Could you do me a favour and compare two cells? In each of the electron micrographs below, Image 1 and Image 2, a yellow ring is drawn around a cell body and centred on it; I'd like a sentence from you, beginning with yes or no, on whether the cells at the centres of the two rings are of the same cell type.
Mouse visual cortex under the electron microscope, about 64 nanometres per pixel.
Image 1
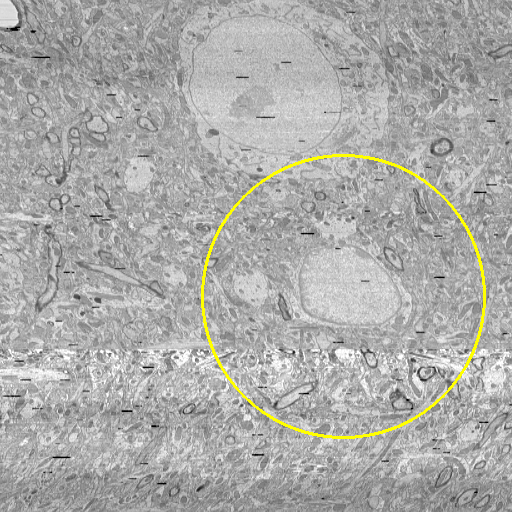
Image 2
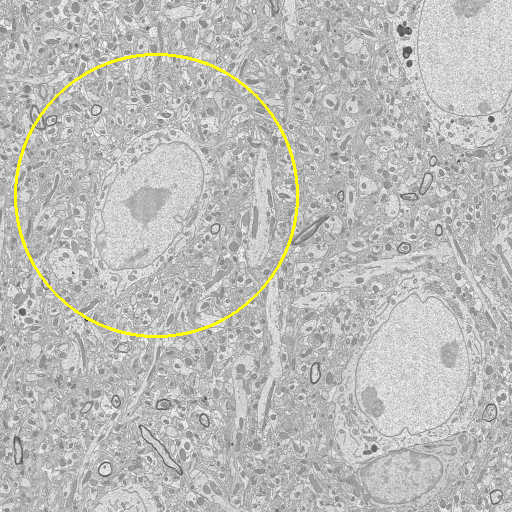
No, the two cells are of two cell types.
